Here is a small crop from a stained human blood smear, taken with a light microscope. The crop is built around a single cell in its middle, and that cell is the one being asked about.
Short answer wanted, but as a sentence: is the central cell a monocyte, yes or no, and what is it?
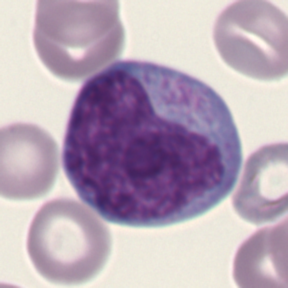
No, the middle cell is not a monocyte, it being a promyelocyte.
